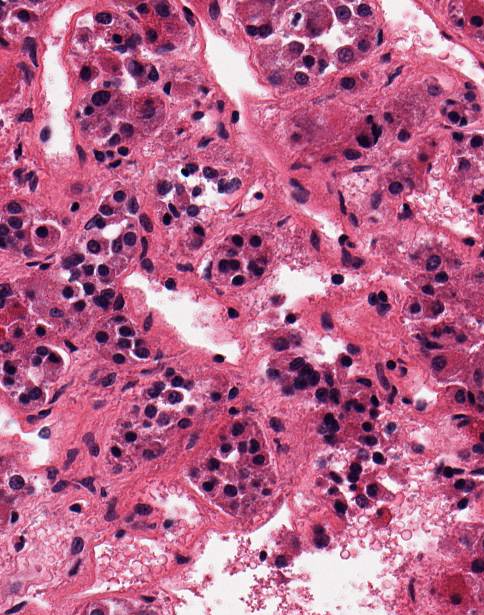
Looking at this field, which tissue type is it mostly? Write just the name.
pars distalis of the pituitary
